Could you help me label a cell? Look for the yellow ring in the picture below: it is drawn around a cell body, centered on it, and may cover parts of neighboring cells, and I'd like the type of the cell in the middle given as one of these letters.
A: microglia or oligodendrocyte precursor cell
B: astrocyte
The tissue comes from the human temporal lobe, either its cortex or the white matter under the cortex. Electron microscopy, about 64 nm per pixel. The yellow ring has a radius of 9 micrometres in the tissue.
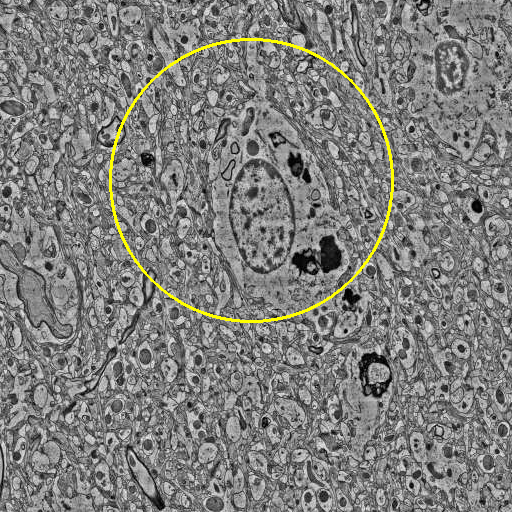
B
